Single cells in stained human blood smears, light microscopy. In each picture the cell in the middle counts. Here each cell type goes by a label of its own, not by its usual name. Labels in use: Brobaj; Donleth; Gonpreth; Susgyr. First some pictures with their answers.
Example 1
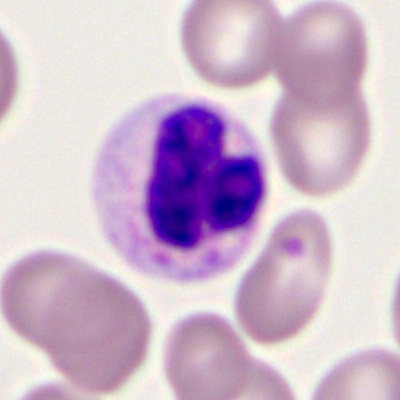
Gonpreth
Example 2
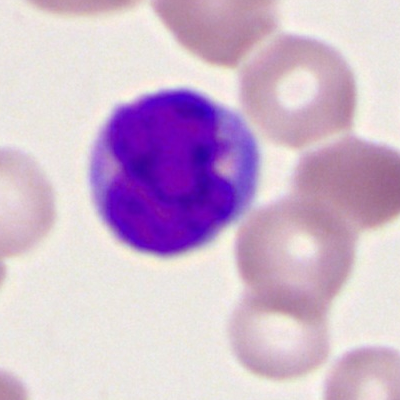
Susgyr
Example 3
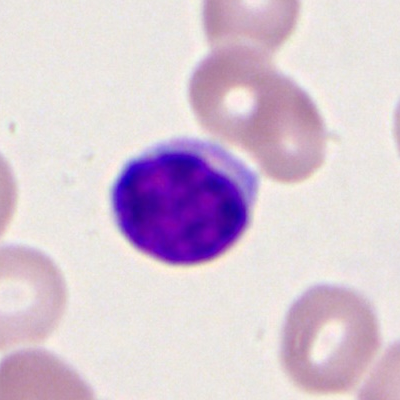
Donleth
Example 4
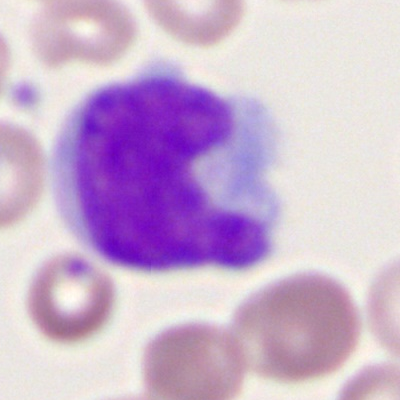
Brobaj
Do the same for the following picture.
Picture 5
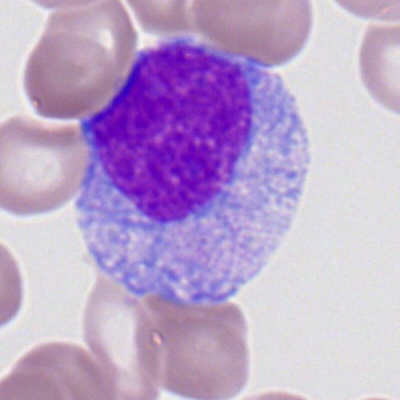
Brobaj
